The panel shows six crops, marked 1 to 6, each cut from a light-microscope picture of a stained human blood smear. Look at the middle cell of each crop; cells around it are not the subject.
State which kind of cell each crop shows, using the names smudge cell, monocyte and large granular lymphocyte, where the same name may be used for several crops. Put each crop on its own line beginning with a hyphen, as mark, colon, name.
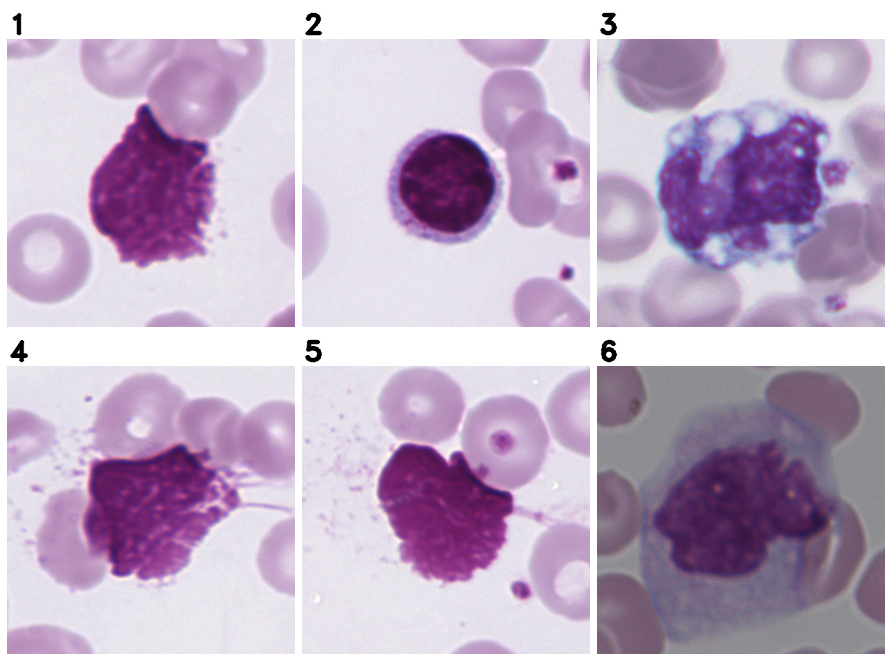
- 1: smudge cell
- 2: large granular lymphocyte
- 3: monocyte
- 4: smudge cell
- 5: smudge cell
- 6: monocyte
